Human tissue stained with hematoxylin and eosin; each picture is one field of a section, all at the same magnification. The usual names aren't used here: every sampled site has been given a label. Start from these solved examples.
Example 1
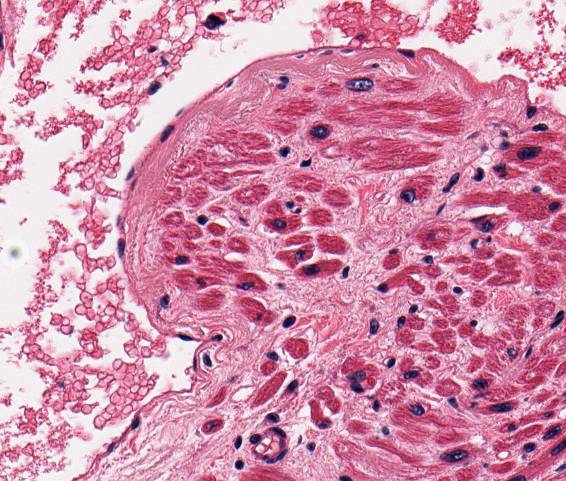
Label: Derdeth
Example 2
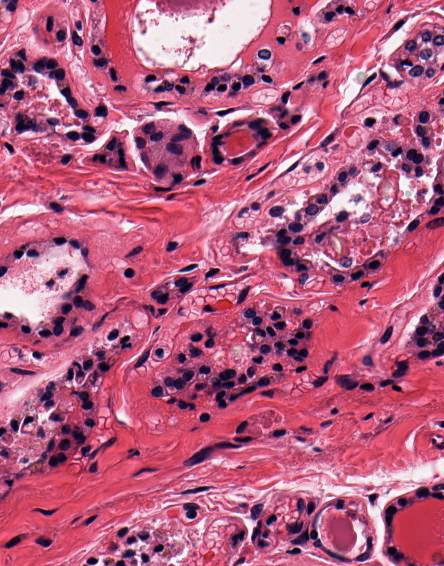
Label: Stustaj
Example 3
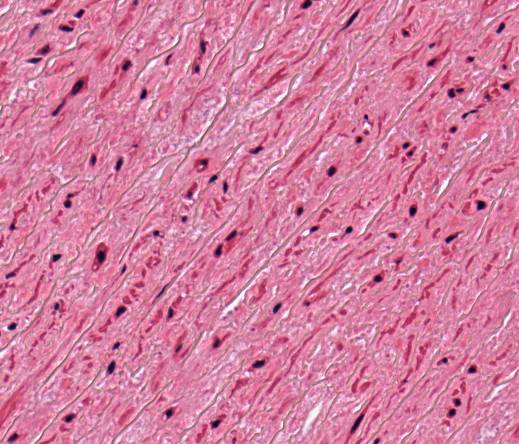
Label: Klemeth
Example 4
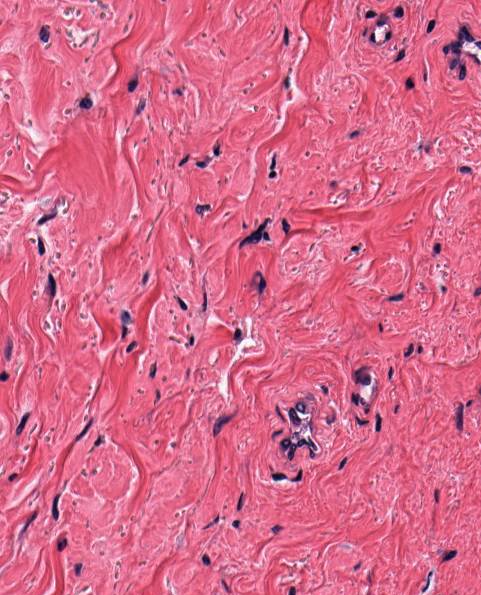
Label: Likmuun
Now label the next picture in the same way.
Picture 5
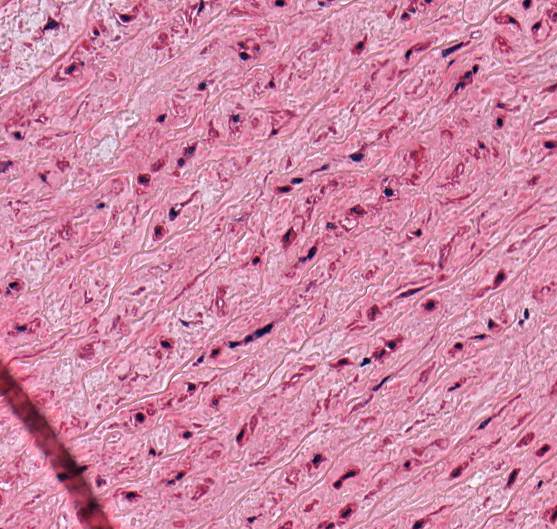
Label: Klemeth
